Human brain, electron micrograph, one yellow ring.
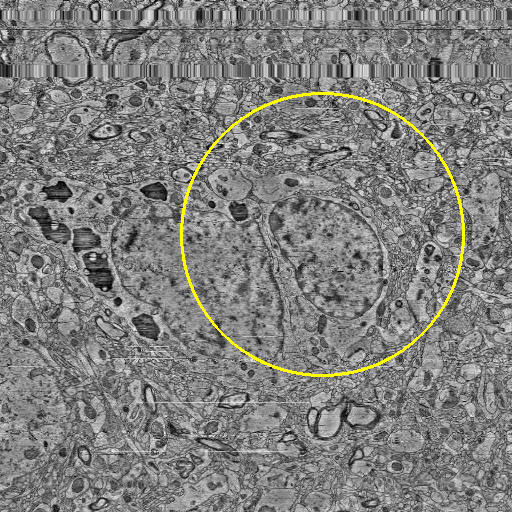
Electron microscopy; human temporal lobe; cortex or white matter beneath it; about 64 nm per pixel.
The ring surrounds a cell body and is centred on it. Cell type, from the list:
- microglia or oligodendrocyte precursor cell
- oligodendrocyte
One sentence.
The yellow ring circles a microglial cell or oligodendrocyte precursor cell.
